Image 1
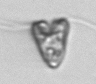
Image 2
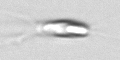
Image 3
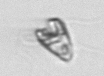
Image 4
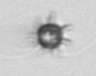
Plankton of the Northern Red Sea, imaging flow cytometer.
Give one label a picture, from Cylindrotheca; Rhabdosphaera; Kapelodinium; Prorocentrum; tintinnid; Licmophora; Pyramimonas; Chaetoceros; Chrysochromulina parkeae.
1. Pyramimonas
2. Chrysochromulina parkeae
3. Pyramimonas
4. Rhabdosphaera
